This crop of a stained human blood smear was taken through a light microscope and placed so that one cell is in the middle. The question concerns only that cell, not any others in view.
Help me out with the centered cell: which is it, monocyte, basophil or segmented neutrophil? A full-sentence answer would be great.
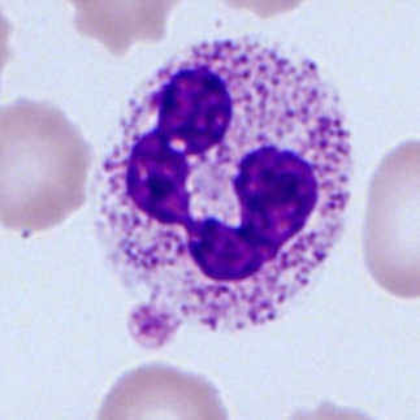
The centered cell in this crop is a segmented neutrophil.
